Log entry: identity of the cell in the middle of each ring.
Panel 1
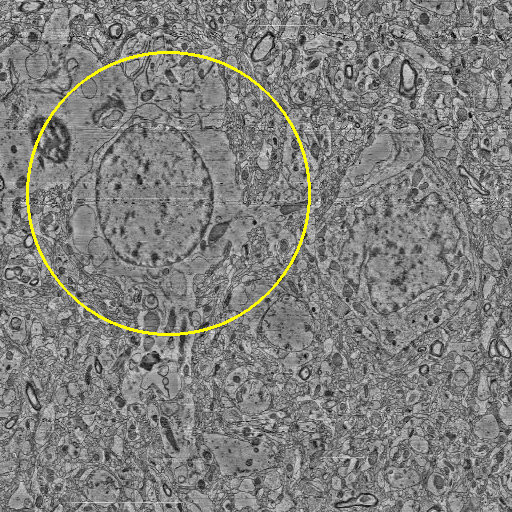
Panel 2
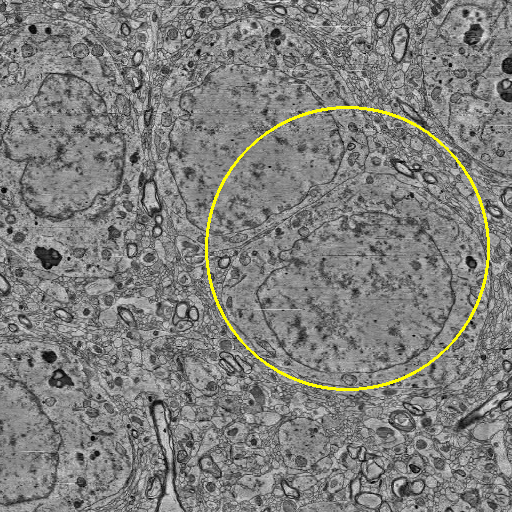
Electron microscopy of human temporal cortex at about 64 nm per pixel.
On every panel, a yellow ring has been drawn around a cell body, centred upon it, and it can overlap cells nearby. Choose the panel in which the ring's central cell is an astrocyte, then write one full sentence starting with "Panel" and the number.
Panel 1 shows the requested cell sitting in the middle of its ring.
